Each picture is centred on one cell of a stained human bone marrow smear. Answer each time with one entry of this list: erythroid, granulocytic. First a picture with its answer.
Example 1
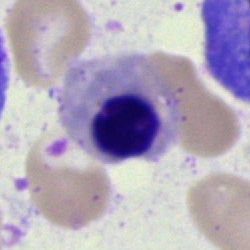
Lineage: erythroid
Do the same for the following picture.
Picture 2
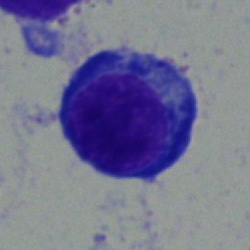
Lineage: erythroid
